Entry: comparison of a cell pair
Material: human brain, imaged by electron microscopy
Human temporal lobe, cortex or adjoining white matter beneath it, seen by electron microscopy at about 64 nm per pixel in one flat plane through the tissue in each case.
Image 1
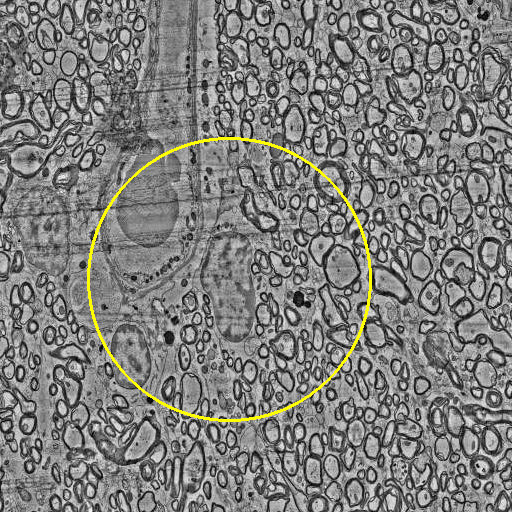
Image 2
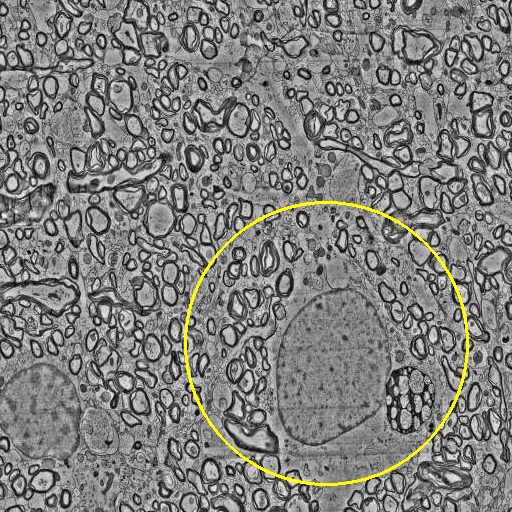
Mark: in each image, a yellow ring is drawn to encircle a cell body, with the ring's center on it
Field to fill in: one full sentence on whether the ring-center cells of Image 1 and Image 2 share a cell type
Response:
No, Image 1 and Image 2 show ring-center cells of two separate types.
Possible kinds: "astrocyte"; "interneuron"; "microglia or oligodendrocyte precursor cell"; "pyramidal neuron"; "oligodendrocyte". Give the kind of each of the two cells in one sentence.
The cell in the second picture is an astrocyte, and that in the first is a microglial cell or oligodendrocyte precursor cell.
